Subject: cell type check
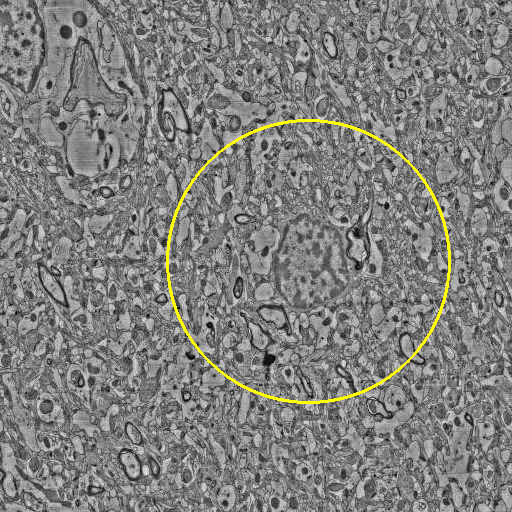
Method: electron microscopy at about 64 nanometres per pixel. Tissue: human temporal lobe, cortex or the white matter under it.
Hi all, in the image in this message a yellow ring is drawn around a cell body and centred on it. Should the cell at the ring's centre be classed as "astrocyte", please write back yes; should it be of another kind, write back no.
no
